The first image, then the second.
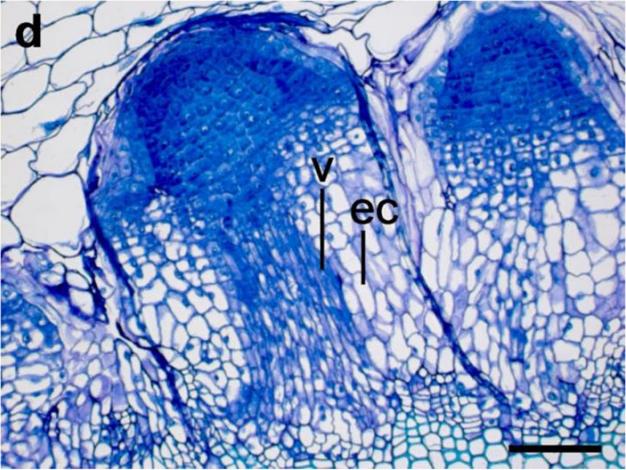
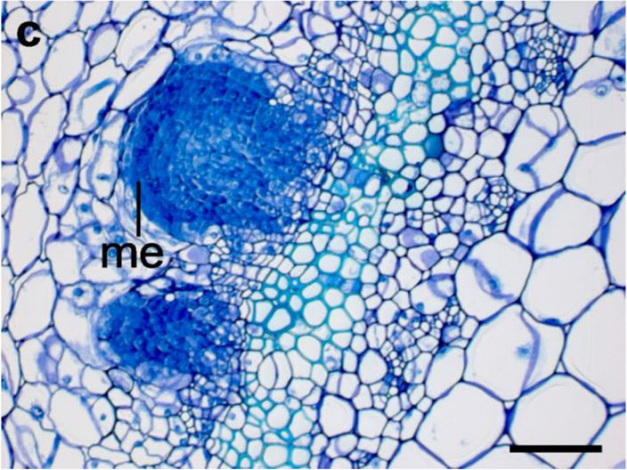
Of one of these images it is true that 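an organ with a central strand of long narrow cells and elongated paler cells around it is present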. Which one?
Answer: The first image.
